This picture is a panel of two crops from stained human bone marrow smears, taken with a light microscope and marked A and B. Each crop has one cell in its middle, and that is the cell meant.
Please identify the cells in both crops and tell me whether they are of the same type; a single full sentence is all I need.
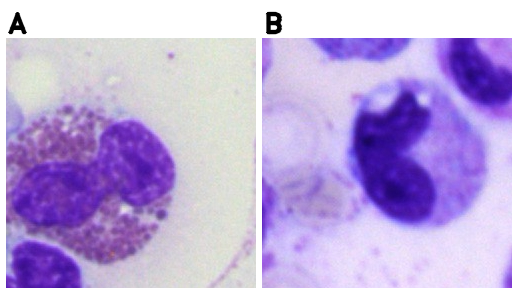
No, within crop A lies an eosinophil, and within crop B lies a metamyelocyte.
